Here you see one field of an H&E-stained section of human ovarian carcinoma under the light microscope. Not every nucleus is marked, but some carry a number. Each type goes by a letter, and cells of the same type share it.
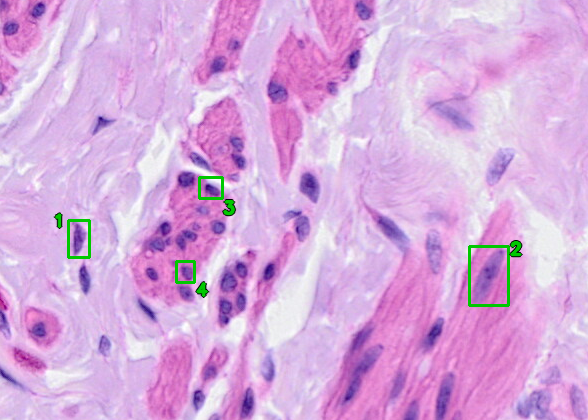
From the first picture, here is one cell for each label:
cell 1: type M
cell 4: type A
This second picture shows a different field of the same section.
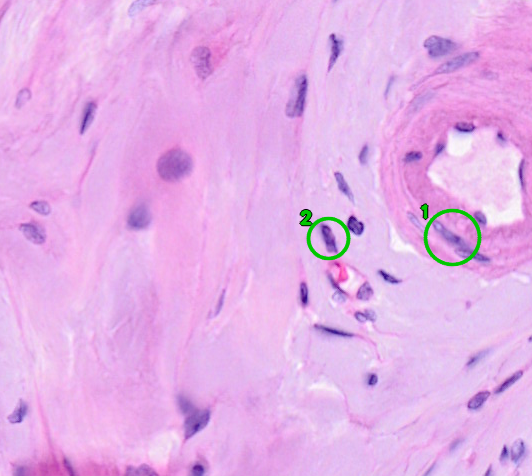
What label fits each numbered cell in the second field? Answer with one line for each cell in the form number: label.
1: type A
2: type M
